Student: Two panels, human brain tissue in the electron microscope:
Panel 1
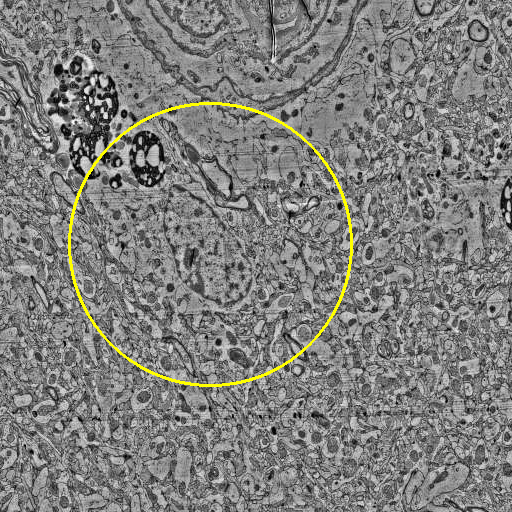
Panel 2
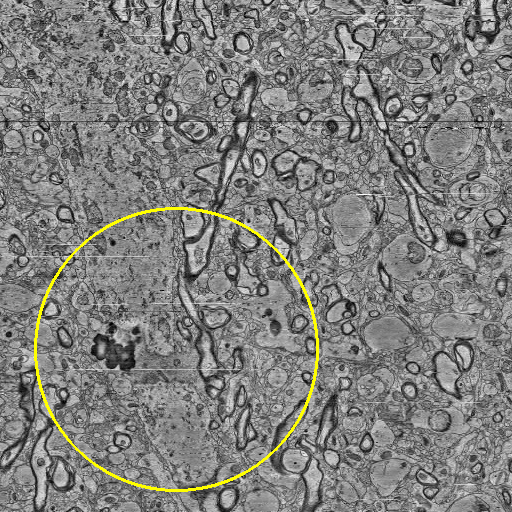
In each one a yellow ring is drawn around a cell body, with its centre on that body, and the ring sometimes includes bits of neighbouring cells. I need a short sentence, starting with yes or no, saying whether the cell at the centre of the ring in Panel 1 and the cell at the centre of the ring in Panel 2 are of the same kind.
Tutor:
No, they are two kinds of cell.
